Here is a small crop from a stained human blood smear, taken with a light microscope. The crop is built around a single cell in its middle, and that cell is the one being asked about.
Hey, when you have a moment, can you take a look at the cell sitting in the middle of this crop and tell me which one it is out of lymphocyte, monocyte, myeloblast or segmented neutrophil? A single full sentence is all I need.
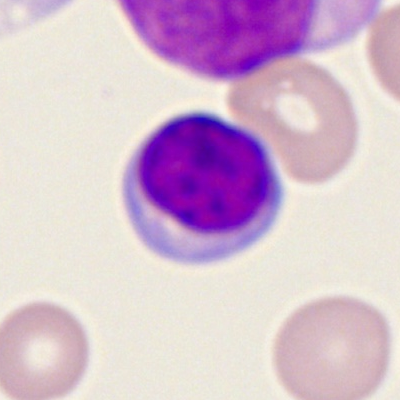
The crop's centre is taken up by a lymphocyte.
